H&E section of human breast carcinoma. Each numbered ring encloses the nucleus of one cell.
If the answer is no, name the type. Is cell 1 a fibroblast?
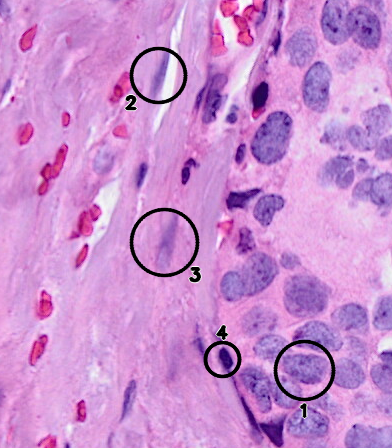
No, it is a carcinoma cell.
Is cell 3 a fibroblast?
Yes.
